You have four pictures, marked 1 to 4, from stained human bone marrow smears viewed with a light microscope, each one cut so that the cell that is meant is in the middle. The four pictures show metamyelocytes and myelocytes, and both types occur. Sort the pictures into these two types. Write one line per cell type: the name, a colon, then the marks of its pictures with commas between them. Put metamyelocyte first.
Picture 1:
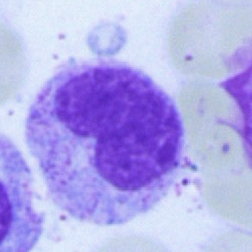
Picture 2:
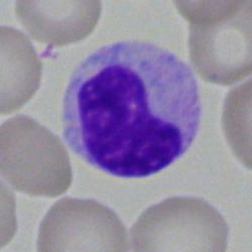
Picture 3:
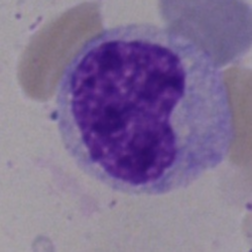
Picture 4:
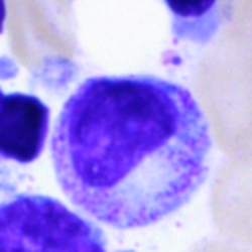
metamyelocyte: 1, 2, 3
myelocyte: 4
